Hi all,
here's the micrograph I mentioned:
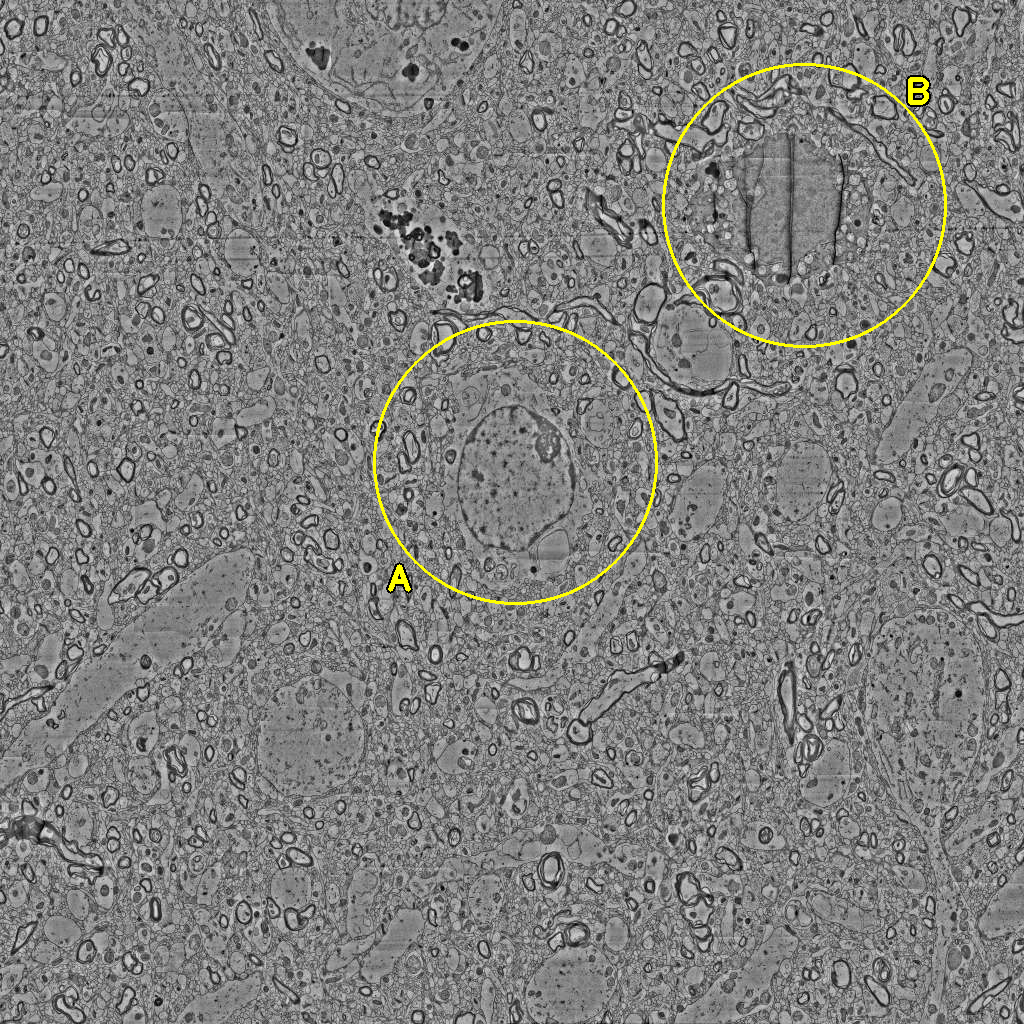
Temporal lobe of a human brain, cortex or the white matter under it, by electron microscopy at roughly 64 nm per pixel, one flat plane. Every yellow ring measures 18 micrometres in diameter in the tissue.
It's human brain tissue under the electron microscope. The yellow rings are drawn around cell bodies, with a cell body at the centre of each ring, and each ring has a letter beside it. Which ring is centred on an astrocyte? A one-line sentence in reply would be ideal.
It's the one labelled A.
